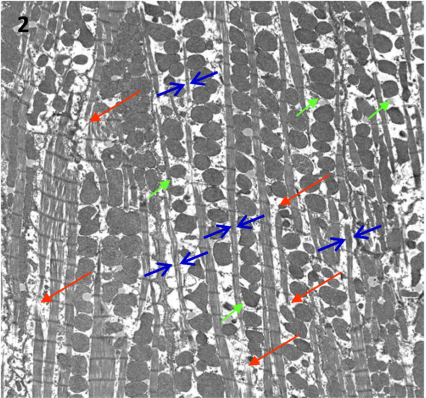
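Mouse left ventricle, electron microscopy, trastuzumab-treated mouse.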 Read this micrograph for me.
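This transmission electron micrograph shows heart muscle cells, cardiomyocytes, cut along their length. The myofibrils form narrow, striated bands, many of them thin and frayed. Dark oval mitochondria lie in rows between the bands, but pale, empty-looking clefts separate many of them from each other and from the myofibrils. The overall packing is looser than in normal heart muscle, with many white gaps scattered through the field.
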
